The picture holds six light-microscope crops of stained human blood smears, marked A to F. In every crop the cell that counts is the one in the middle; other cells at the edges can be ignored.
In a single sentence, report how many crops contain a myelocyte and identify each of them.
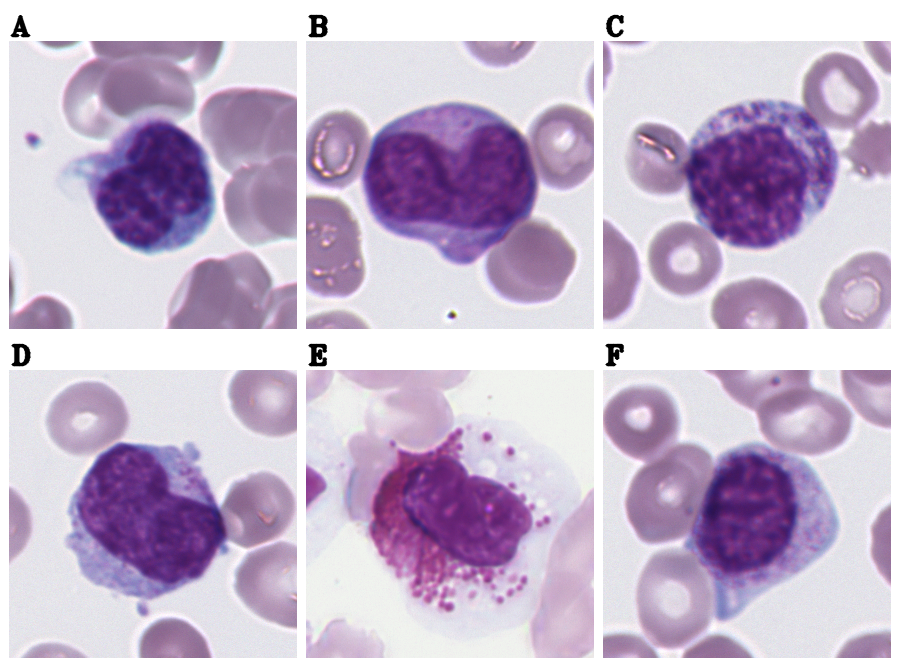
In this group, two crops have myelocytes: C and F.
